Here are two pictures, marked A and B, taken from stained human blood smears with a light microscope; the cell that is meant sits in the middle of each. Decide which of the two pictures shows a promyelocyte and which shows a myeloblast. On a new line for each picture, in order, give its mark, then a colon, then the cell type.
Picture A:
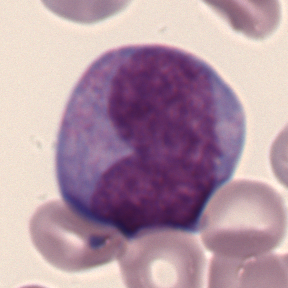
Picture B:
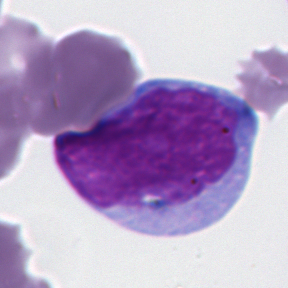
A: promyelocyte
B: myeloblast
